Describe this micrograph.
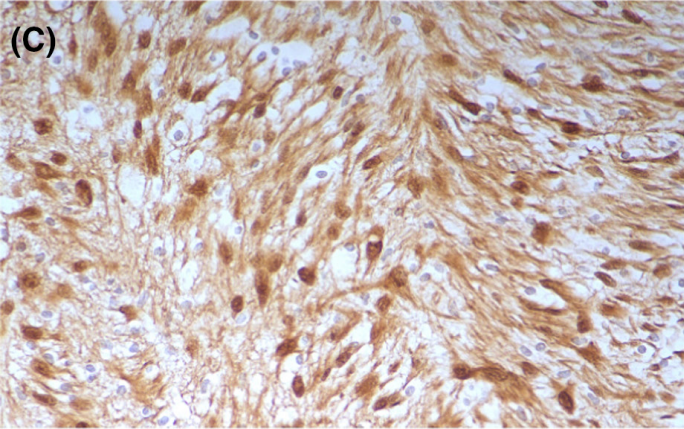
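Tumour tissue of spindle cells with strong brown staining of both nuclei and cytoplasm. The cells are elongated with long, tapering fibrillary processes that run in interlacing streams. Paler, looser areas with a few unstained nuclei and clear spaces lie between the stained bundles.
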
